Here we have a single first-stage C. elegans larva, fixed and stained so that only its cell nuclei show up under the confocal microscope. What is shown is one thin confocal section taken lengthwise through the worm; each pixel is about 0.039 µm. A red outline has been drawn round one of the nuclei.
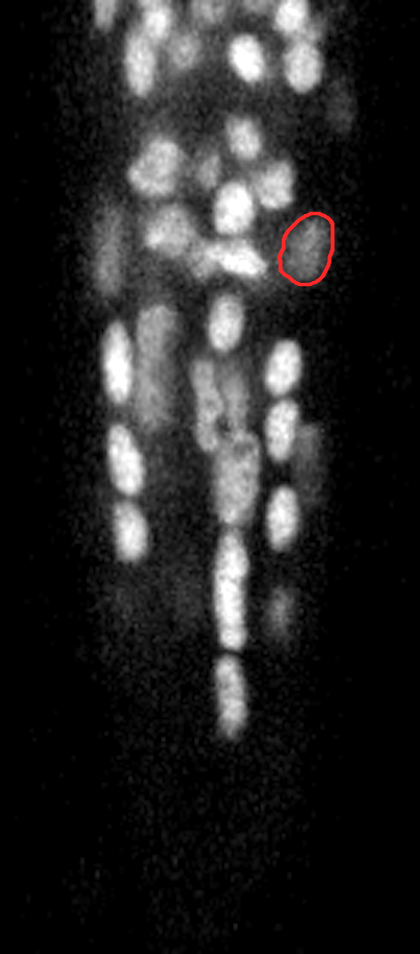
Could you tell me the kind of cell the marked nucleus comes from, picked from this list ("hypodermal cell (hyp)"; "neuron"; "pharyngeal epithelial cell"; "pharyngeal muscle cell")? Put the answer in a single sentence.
The nucleus comes from a hypodermal cell (hyp).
